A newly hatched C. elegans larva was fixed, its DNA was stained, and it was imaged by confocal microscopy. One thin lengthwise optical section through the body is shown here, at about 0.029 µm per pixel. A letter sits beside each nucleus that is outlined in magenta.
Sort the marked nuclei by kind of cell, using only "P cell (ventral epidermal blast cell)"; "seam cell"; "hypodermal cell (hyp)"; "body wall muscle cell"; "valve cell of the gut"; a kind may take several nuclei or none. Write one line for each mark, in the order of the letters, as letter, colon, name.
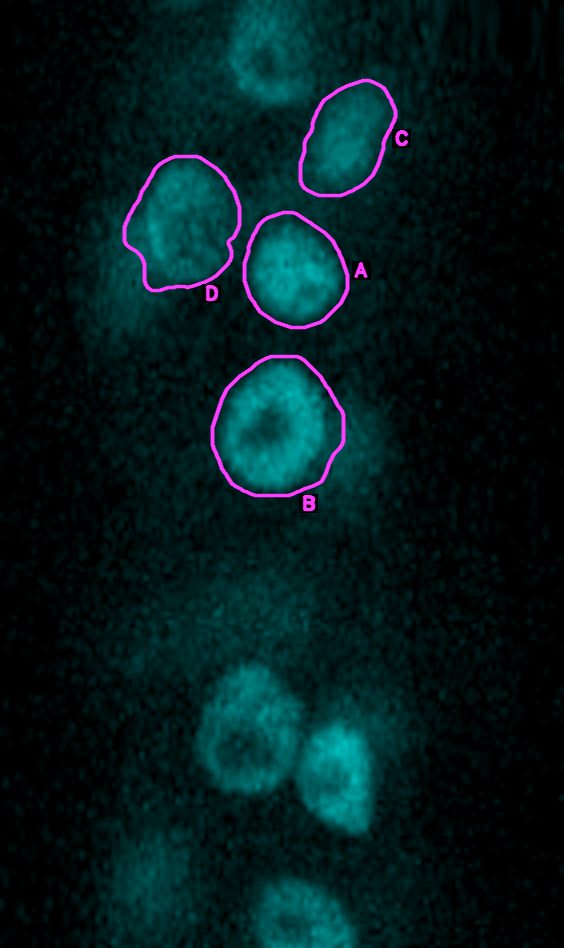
A: P cell (ventral epidermal blast cell)
B: seam cell
C: body wall muscle cell
D: hypodermal cell (hyp)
